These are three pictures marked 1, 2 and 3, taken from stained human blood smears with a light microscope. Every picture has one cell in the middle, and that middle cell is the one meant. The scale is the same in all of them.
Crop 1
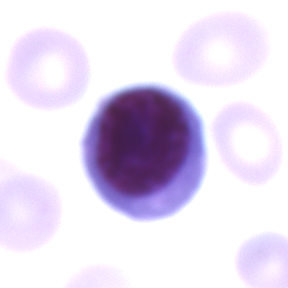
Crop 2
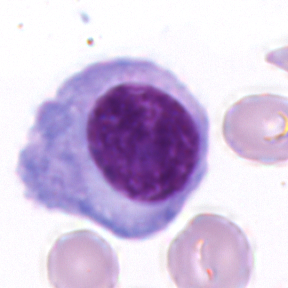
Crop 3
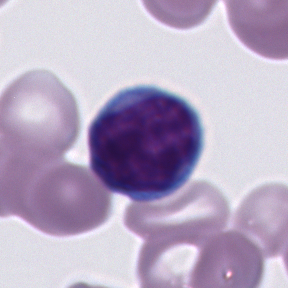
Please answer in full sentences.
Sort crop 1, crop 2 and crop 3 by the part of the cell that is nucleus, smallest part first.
From the least filled to the most, the order is 2, 1, 3.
